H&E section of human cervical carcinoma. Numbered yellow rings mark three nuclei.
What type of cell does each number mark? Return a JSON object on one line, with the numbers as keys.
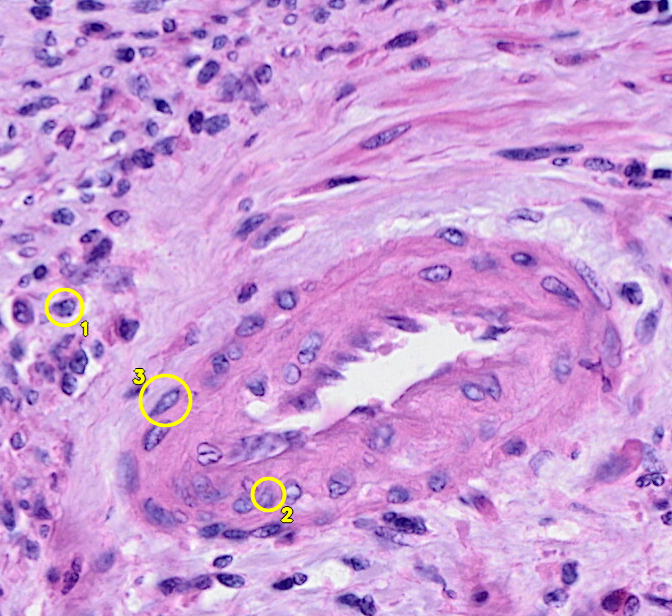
{"1": "lymphocyte", "2": "smooth muscle cell", "3": "smooth muscle cell"}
